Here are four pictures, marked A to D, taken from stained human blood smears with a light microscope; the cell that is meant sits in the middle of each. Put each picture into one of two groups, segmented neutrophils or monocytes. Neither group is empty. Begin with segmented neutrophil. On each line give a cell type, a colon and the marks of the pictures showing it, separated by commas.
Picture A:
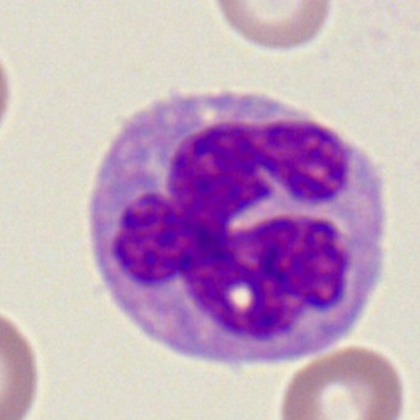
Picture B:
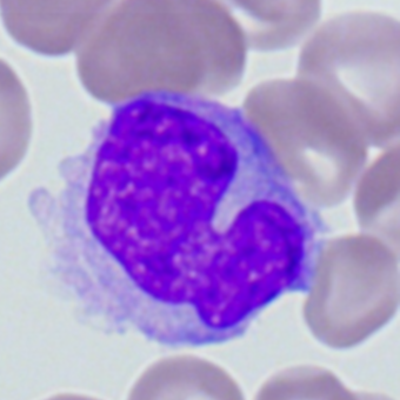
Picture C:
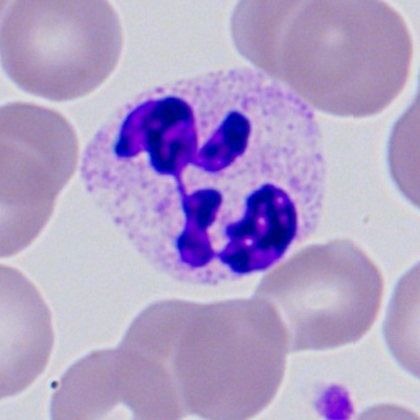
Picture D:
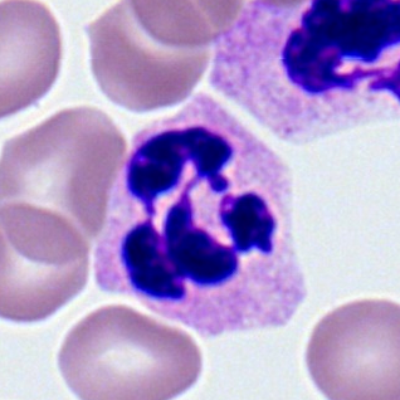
segmented neutrophil: C, D
monocyte: A, B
